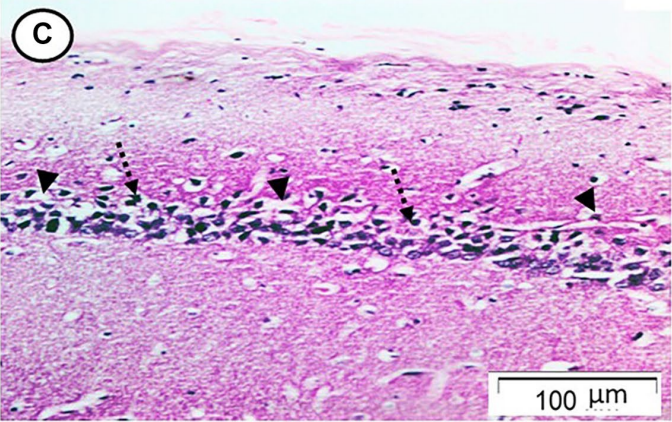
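This field shows the pyramidal cell layer of the hippocampus in which most pyramidal neurons are deeply stained and shrunken. Above and below the band the neuropil is pink and paler, with scattered small dark nuclei. A thin surface layer is seen along the top edge.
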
